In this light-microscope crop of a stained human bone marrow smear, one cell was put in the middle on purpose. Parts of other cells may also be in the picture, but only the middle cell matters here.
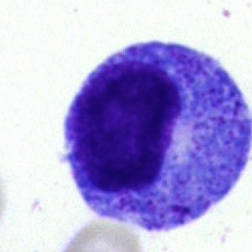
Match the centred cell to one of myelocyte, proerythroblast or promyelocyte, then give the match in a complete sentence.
As for the cell in the middle, it is a promyelocyte.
